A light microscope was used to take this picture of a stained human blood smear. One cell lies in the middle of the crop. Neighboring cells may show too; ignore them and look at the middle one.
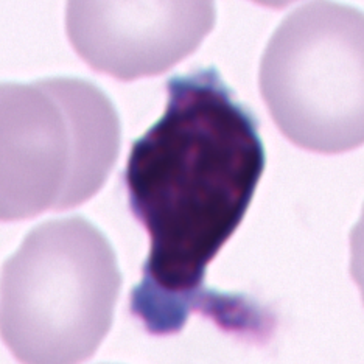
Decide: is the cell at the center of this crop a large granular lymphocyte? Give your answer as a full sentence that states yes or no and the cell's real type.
No, this one is a typical lymphocyte; it is not a large granular lymphocyte.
